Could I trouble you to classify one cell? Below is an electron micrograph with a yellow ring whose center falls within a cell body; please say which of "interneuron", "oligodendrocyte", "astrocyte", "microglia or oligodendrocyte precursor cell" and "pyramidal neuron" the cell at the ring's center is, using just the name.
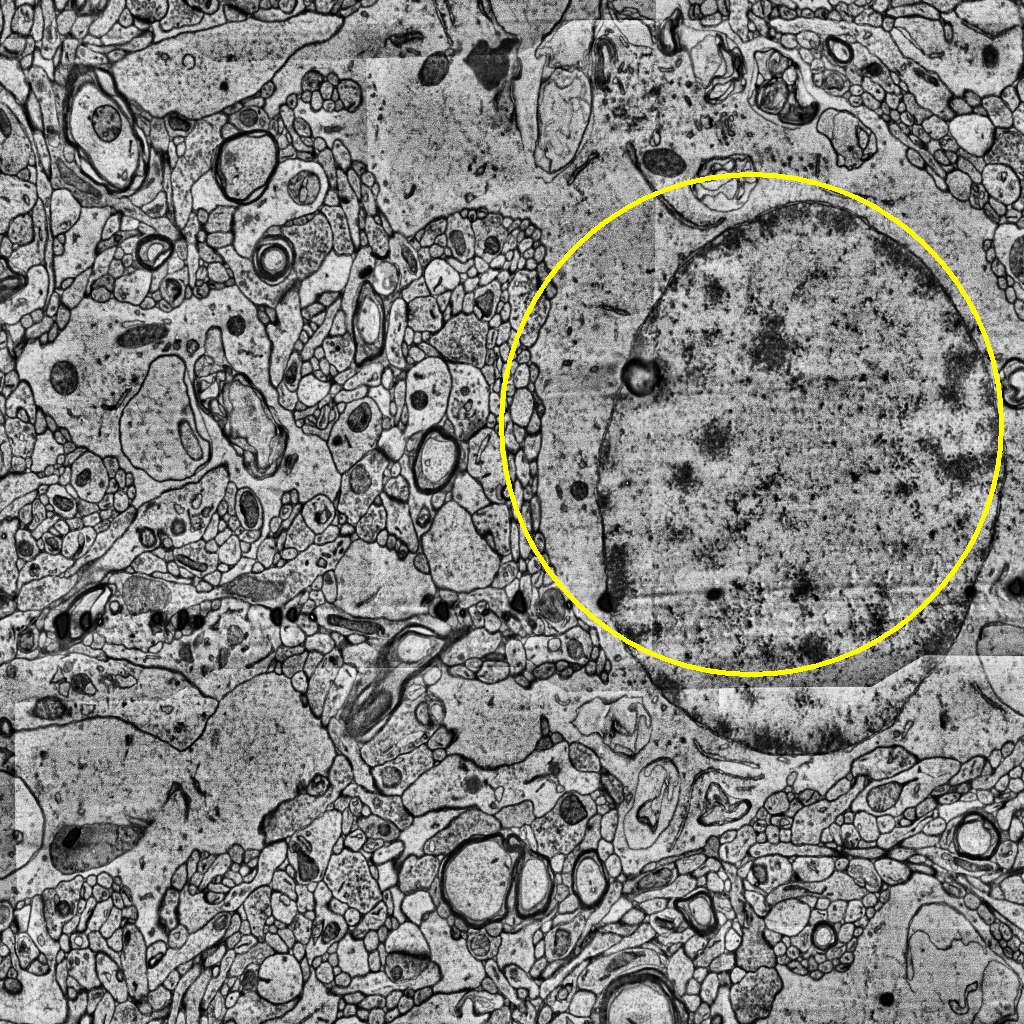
astrocyte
